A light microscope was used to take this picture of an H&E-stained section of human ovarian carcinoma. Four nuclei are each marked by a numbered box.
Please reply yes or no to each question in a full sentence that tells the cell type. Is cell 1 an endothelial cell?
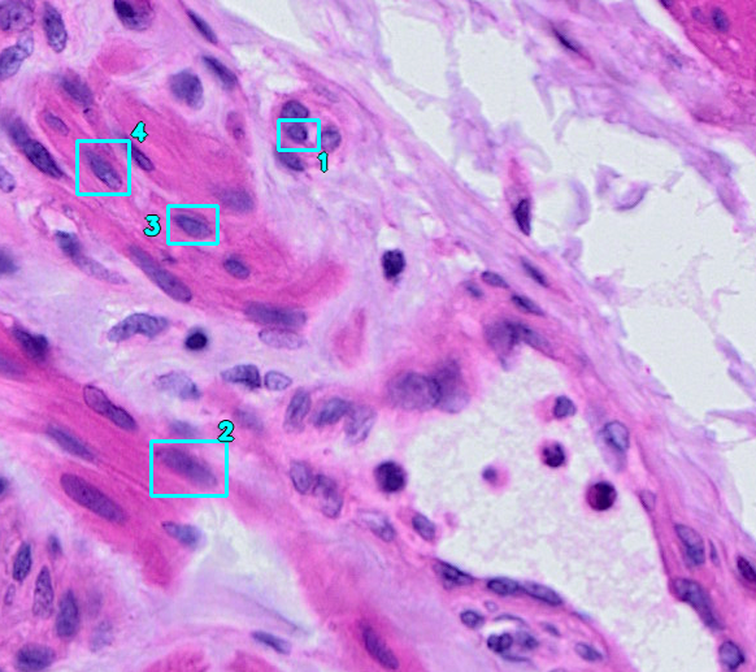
Yes, the cell distinguished by number 1 is an endothelial cell.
